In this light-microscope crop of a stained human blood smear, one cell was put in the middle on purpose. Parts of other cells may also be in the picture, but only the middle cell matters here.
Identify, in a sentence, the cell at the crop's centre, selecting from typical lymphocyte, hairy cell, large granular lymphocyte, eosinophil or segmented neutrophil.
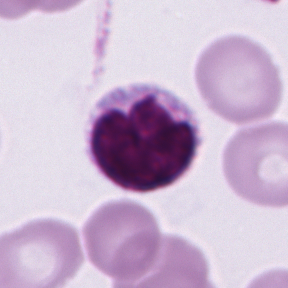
The cell in the middle of the field of view is a typical lymphocyte.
